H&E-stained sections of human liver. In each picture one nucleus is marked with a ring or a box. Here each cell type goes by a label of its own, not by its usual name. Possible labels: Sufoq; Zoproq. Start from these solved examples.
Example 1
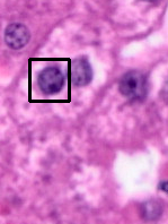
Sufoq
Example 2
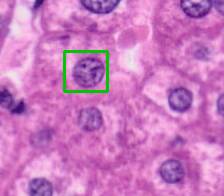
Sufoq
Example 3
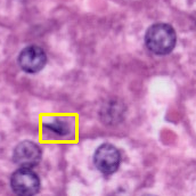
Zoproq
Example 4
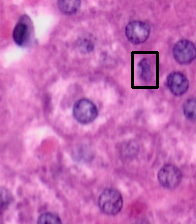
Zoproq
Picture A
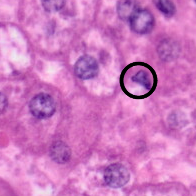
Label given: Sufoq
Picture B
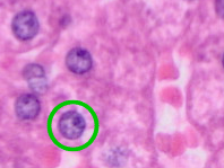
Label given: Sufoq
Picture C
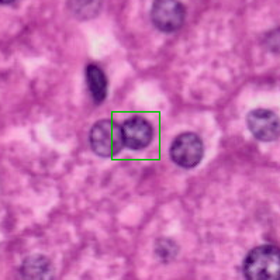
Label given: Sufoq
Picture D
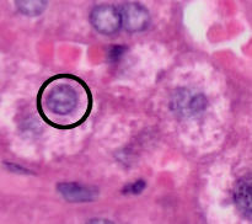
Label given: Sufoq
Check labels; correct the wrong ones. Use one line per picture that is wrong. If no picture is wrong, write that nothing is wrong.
A: Zoproq, not Sufoq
